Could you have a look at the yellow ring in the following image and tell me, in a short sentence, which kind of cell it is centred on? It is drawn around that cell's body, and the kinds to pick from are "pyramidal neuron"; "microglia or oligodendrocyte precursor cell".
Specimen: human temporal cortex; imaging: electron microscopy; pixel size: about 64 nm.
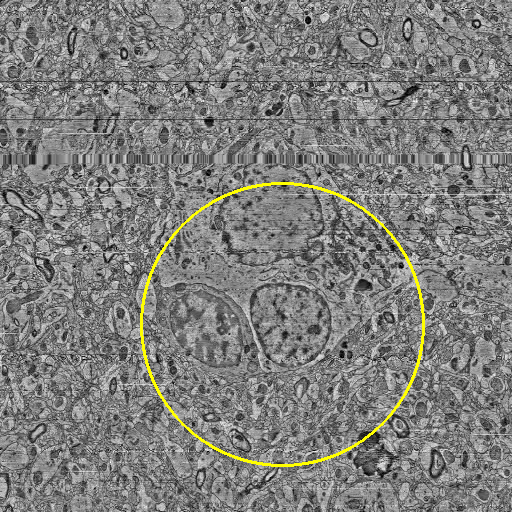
The ring is centred on the body of a microglial cell or oligodendrocyte precursor cell.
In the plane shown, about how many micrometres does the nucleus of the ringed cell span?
In this plane, approximately 6 by 5 micrometers.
